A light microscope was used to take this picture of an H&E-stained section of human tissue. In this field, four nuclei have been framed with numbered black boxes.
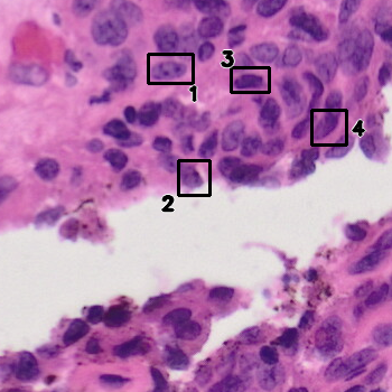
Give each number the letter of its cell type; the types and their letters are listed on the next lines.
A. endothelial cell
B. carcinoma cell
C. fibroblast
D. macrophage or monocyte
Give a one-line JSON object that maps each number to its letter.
{"1": "D", "2": "B", "3": "B", "4": "B"}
